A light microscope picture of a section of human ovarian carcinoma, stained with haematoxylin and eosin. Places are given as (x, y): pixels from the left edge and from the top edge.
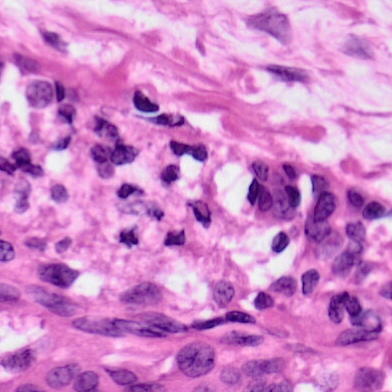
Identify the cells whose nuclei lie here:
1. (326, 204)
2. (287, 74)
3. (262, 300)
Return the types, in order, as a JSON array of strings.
["carcinoma cell", "fibroblast", "carcinoma cell"]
